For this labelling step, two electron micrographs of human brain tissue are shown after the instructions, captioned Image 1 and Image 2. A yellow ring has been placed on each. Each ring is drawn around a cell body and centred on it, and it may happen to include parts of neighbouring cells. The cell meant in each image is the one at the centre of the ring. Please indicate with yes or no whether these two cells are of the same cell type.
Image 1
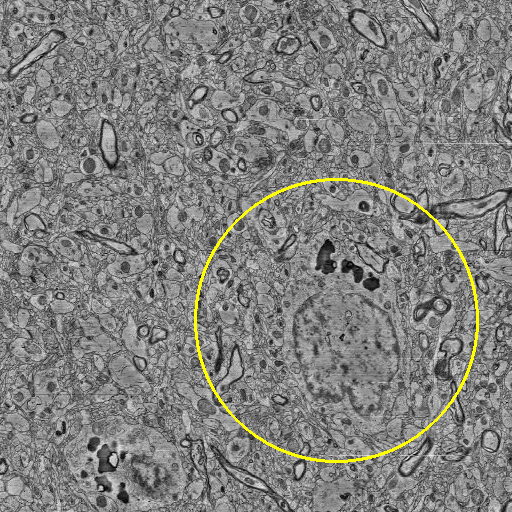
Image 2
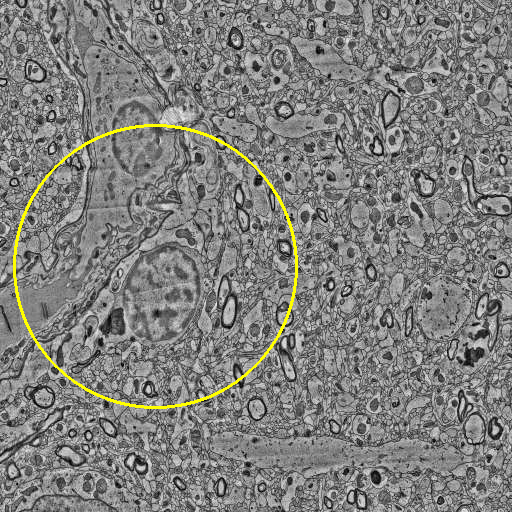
no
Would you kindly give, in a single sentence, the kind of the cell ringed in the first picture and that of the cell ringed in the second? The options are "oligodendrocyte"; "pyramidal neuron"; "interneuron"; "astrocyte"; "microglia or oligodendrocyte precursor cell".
The second cell is an oligodendrocyte, and the first cell is an interneuron.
